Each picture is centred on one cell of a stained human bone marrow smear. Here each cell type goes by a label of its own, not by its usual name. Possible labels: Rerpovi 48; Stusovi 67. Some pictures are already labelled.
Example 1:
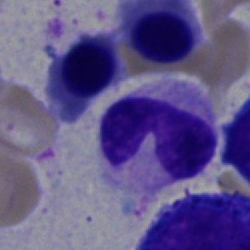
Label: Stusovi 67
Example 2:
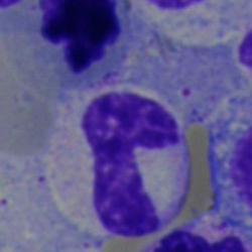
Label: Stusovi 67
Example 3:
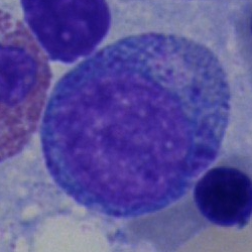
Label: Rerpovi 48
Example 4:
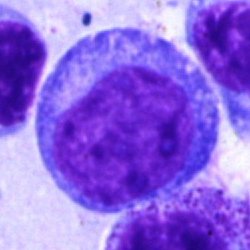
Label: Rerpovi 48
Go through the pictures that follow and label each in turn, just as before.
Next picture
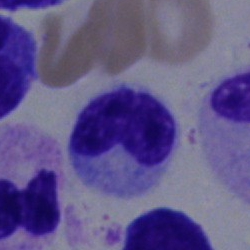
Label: Stusovi 67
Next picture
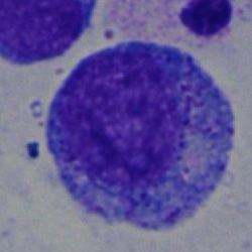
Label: Rerpovi 48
